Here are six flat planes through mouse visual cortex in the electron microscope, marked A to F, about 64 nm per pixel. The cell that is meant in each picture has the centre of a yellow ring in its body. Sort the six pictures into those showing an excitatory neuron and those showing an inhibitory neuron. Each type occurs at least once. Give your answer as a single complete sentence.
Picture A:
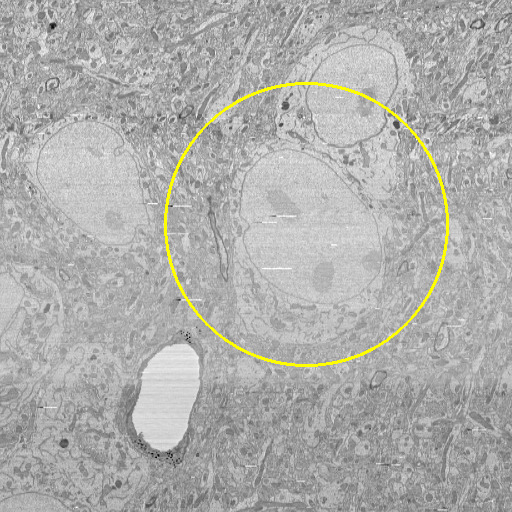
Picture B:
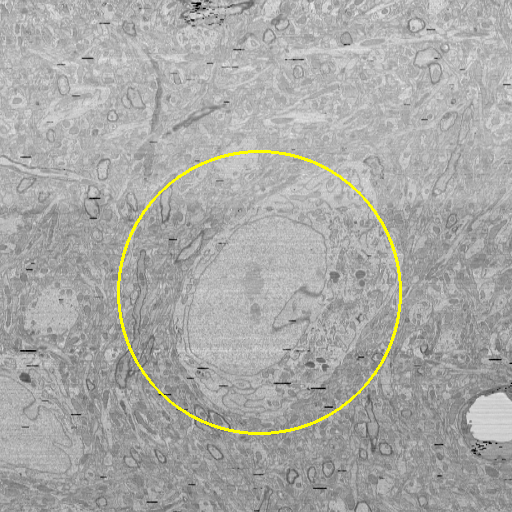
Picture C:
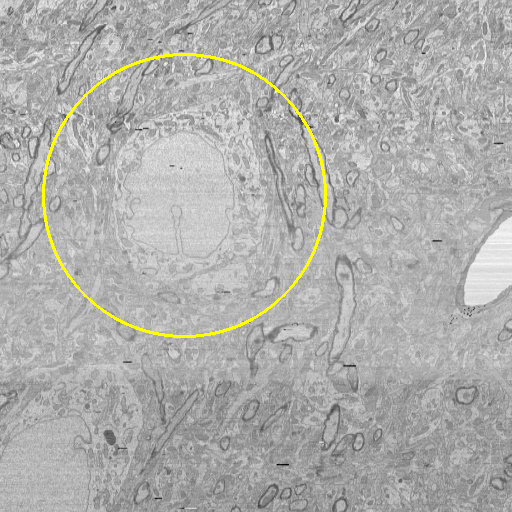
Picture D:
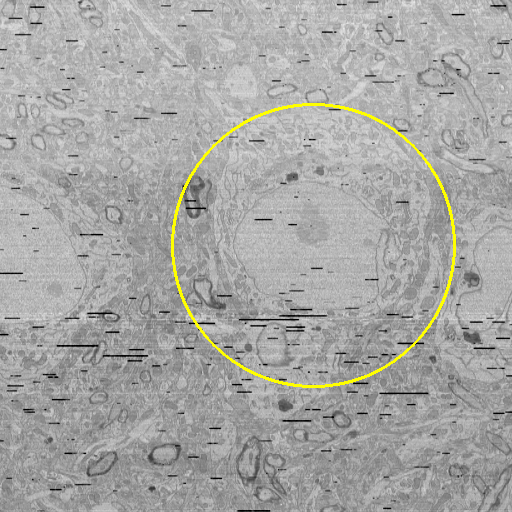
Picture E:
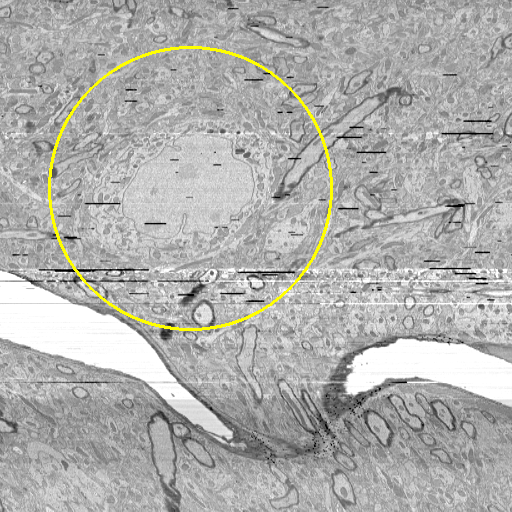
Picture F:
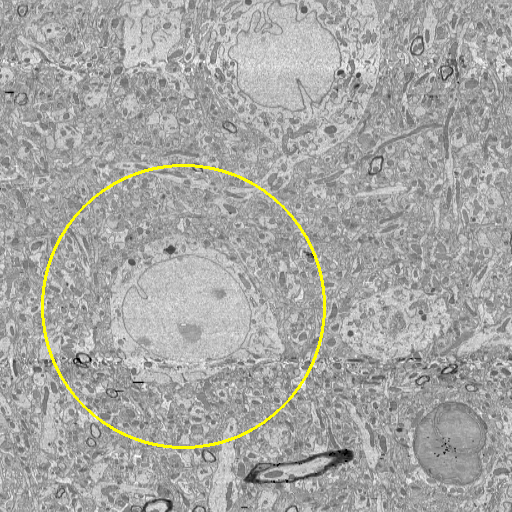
Pictures A and F show excitatory neurons, while pictures B, C, D and E show inhibitory neurons.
